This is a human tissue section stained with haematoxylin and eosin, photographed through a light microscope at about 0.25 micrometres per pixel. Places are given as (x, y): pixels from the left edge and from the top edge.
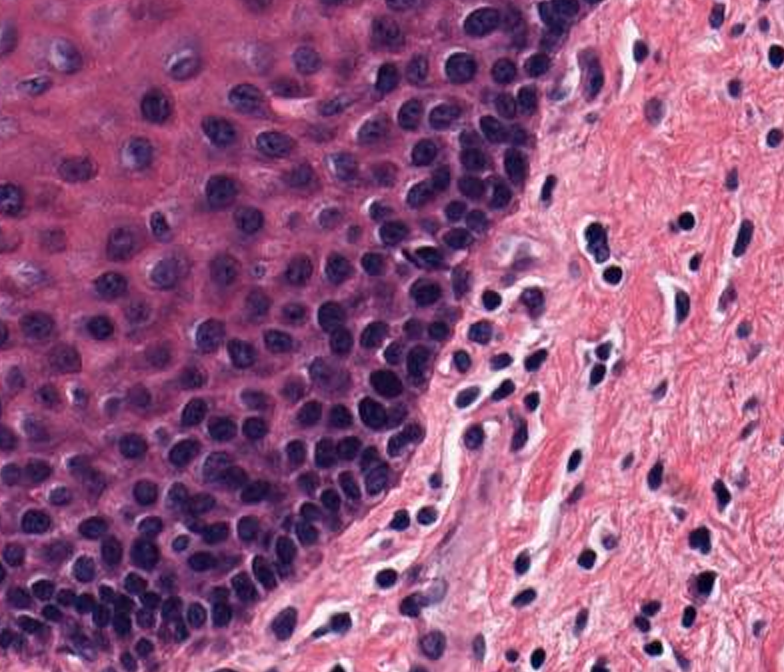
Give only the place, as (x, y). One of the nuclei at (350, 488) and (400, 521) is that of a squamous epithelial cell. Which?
(350, 488)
